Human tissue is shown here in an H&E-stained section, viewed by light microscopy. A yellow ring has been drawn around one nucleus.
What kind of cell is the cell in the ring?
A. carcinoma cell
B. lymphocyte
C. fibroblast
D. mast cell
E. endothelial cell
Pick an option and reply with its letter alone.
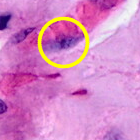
E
